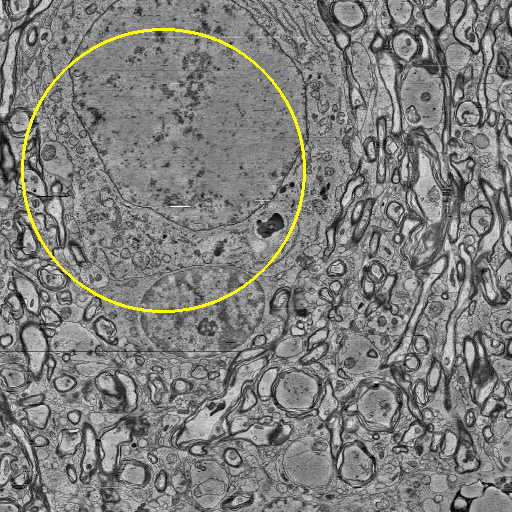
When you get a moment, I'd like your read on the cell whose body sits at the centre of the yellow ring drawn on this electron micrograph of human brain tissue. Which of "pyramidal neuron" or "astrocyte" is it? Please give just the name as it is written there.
pyramidal neuron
